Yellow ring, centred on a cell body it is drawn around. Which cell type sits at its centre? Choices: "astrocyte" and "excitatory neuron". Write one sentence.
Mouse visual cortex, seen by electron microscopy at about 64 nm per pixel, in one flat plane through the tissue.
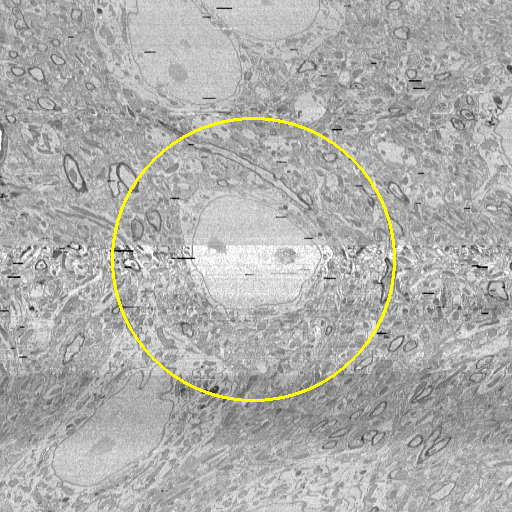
At the centre of the ring sits an excitatory neuron.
